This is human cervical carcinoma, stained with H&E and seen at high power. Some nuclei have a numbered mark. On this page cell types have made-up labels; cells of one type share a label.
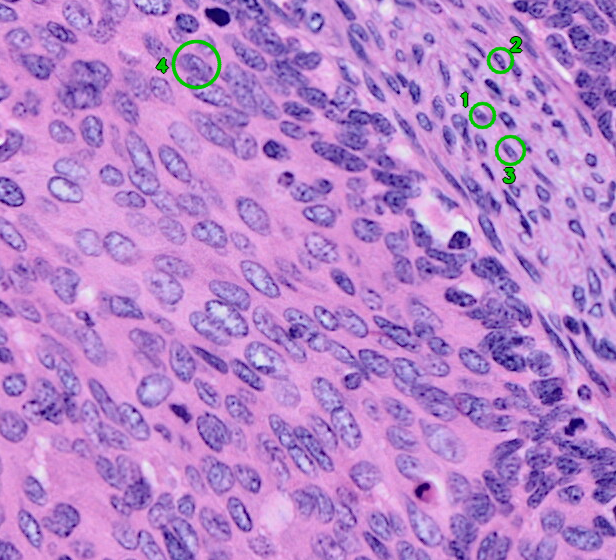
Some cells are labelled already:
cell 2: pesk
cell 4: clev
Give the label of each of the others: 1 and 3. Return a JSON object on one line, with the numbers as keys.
{"1": "pesk", "3": "pesk"}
